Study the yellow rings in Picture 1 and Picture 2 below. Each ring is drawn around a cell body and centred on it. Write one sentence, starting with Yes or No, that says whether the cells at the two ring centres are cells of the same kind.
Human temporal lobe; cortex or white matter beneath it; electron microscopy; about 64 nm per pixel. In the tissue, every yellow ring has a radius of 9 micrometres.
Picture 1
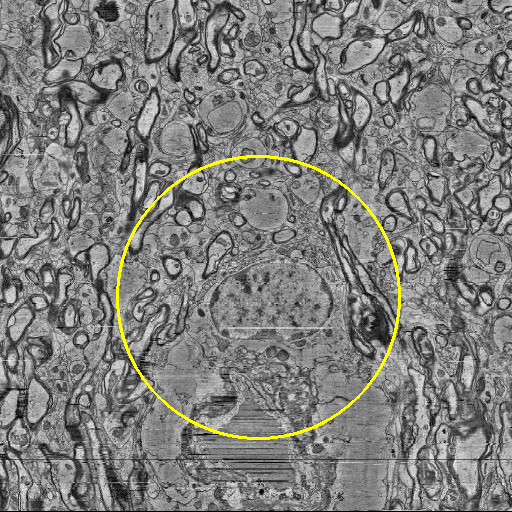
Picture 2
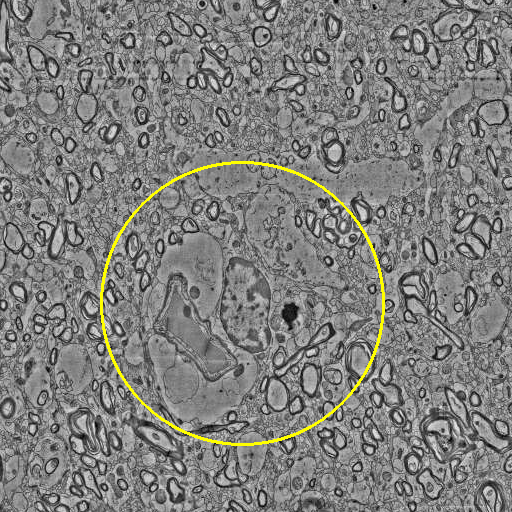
Yes, the cells at both ring centres are of the same kind.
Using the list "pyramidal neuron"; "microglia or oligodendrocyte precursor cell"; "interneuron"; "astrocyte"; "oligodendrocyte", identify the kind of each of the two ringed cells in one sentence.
The first and the second cell are each a microglial cell or oligodendrocyte precursor cell.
